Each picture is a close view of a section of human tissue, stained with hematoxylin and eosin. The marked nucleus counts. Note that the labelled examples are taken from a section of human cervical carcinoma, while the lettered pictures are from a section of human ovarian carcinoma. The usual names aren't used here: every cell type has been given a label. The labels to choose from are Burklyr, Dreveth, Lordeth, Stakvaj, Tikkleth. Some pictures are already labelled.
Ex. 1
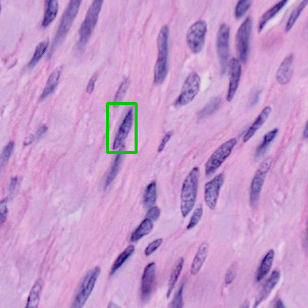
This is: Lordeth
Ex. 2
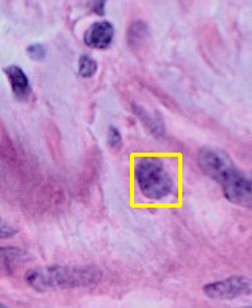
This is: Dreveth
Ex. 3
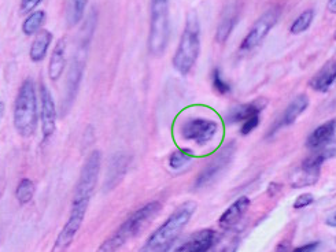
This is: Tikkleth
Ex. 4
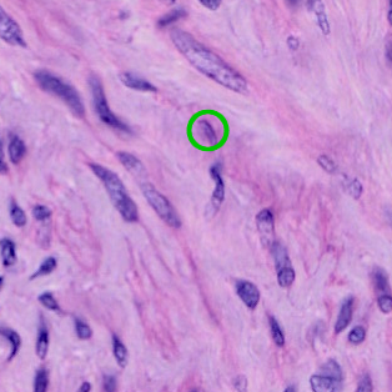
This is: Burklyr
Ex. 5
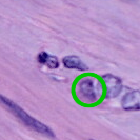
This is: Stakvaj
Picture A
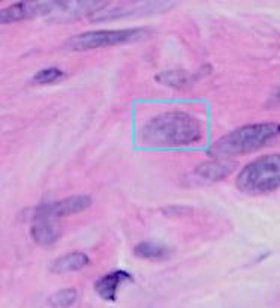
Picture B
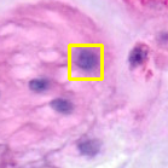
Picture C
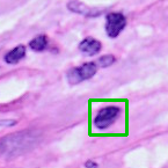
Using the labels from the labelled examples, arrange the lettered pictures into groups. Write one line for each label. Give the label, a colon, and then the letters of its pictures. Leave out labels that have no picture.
Burklyr: A, B
Tikkleth: C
